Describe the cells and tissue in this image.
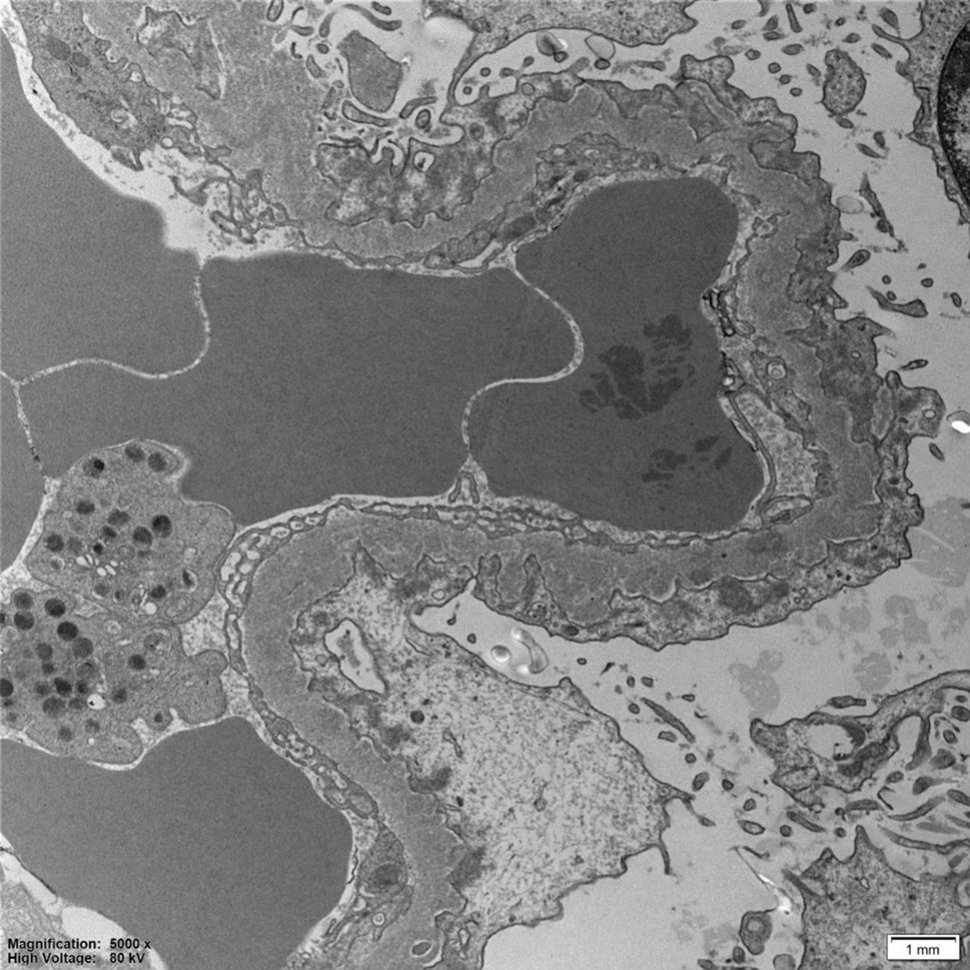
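Several glomerular capillary loops are filled with dense grey red blood cells. The loops are lined by a thin endothelium. Their walls are thickened into broad grey bands carrying irregular darker amorphous material on the outer, epithelial side. The overlying podocytes cover these walls as continuous sheets of cytoplasm rather than as discrete foot processes, while loose cell processes float in the pale urinary space beyond.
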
